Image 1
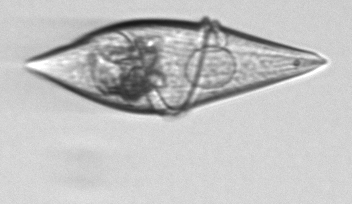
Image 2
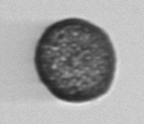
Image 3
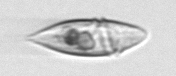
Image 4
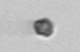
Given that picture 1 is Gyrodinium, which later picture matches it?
3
